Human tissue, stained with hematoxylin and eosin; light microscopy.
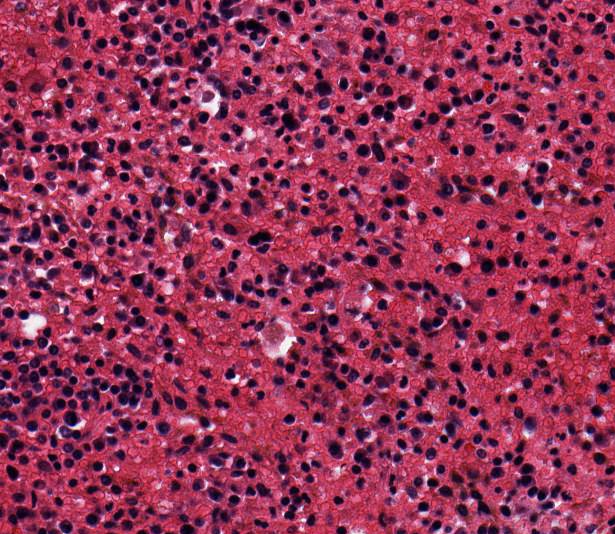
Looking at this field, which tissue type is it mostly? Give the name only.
red pulp of the spleen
